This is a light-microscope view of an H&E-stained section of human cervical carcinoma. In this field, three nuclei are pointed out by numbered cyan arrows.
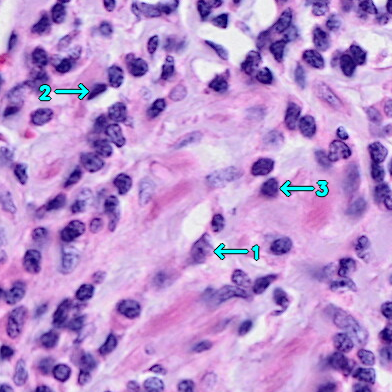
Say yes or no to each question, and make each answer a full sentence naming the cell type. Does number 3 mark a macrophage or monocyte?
No, number 3 identifies a lymphocyte, not a macrophage or monocyte.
